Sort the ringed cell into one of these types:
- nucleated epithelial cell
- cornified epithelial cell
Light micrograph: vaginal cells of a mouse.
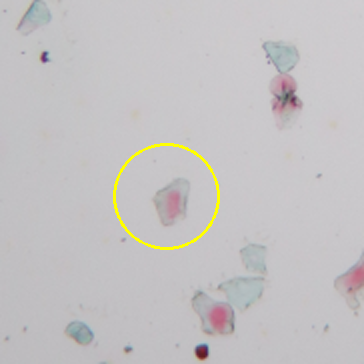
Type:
nucleated epithelial cell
